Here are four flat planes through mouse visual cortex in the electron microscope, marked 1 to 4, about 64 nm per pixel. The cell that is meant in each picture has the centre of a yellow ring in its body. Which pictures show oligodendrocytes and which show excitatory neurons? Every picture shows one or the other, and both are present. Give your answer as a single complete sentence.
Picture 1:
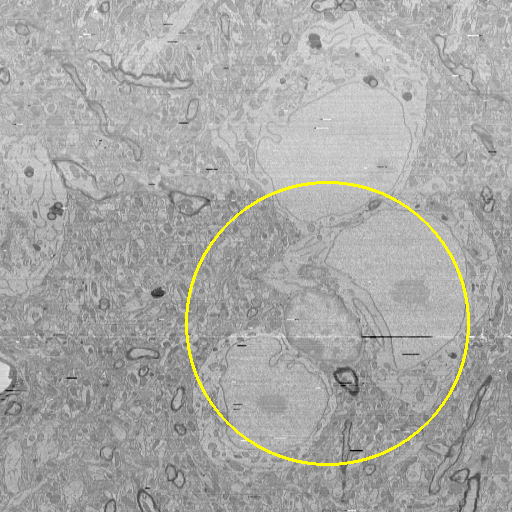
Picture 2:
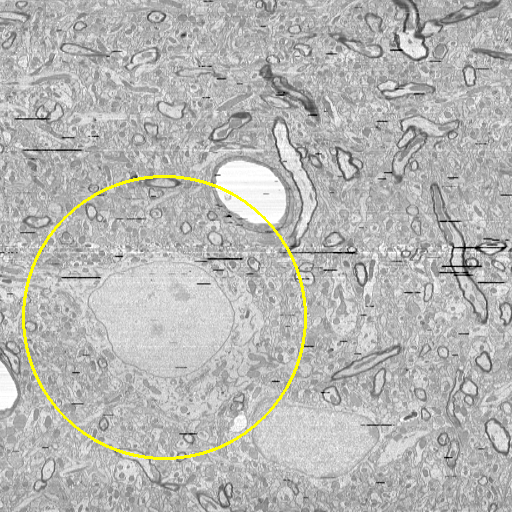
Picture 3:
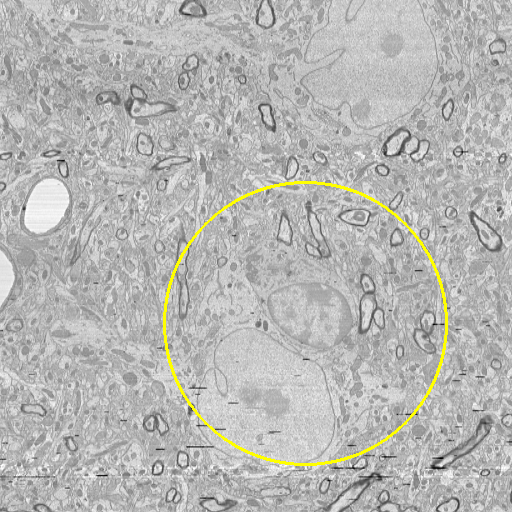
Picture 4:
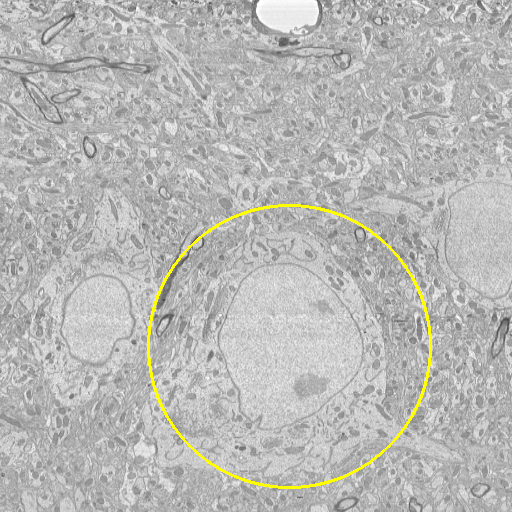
Pictures 1 and 3 show oligodendrocytes, and pictures 2 and 4 show excitatory neurons.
